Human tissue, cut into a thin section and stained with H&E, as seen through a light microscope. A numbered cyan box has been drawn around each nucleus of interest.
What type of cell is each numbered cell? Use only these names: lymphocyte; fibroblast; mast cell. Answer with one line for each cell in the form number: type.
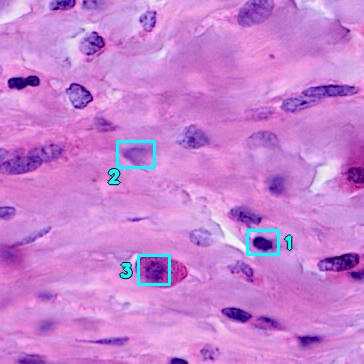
1: lymphocyte
2: fibroblast
3: mast cell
